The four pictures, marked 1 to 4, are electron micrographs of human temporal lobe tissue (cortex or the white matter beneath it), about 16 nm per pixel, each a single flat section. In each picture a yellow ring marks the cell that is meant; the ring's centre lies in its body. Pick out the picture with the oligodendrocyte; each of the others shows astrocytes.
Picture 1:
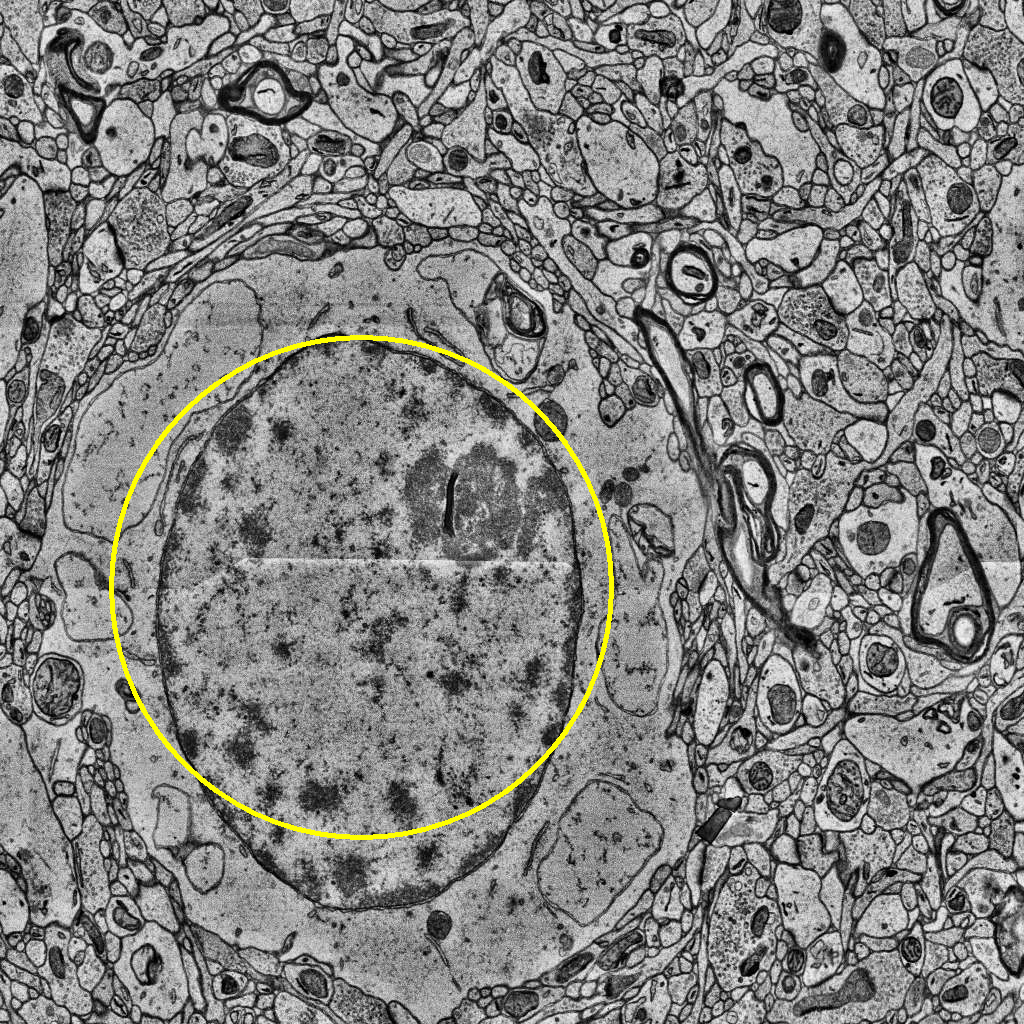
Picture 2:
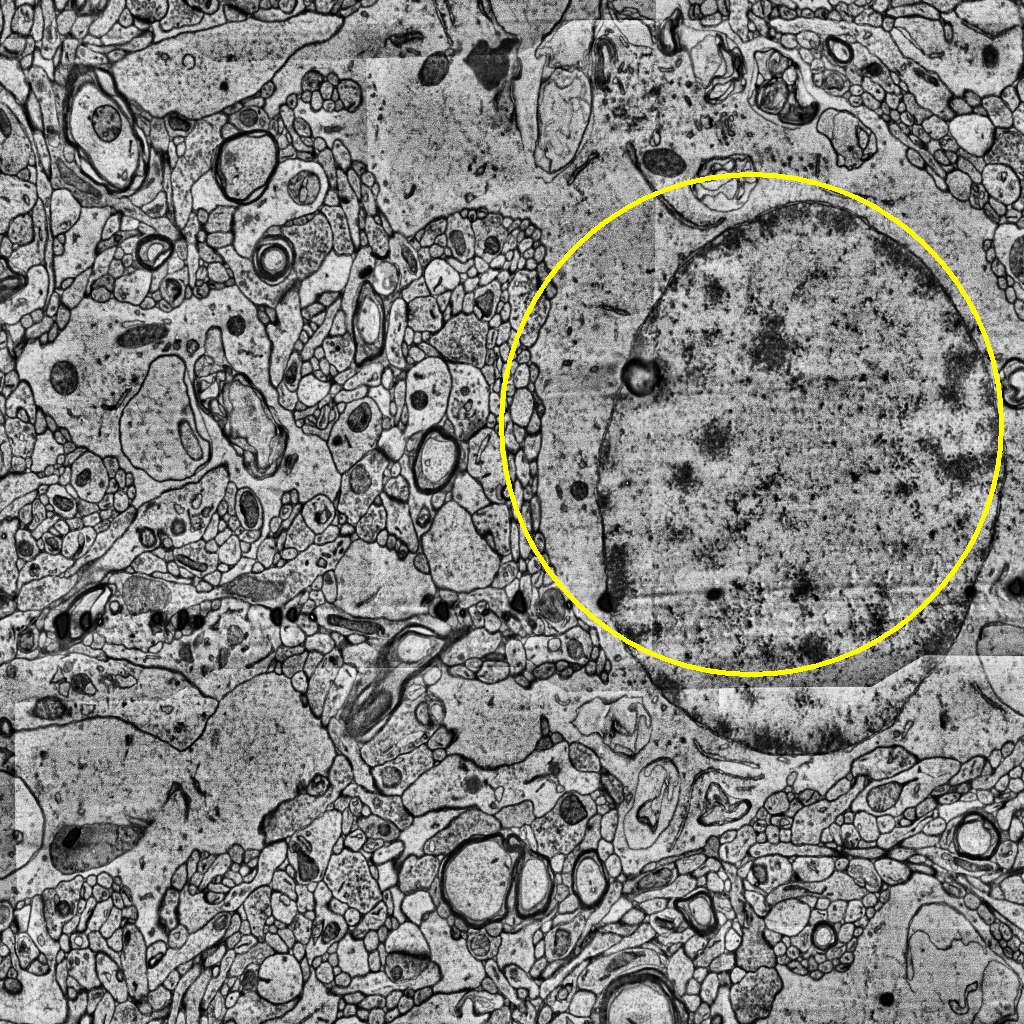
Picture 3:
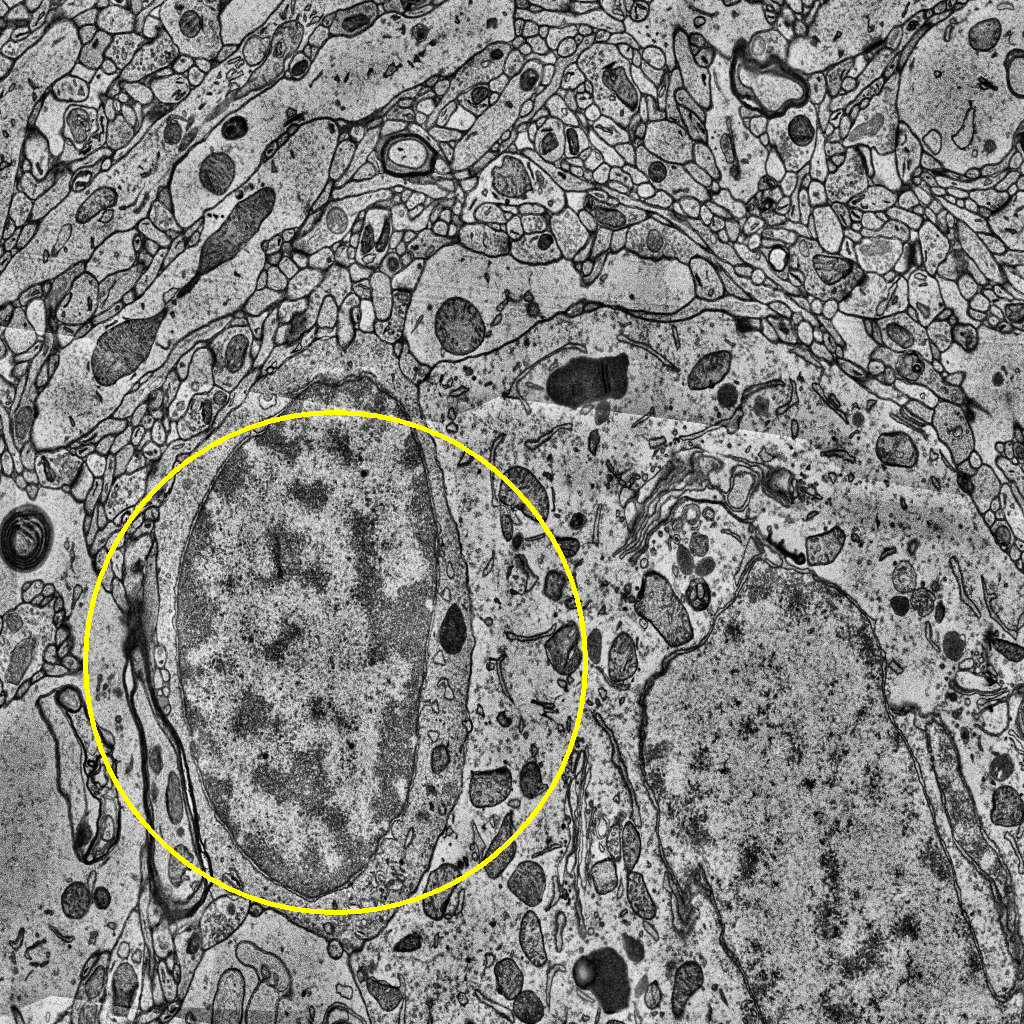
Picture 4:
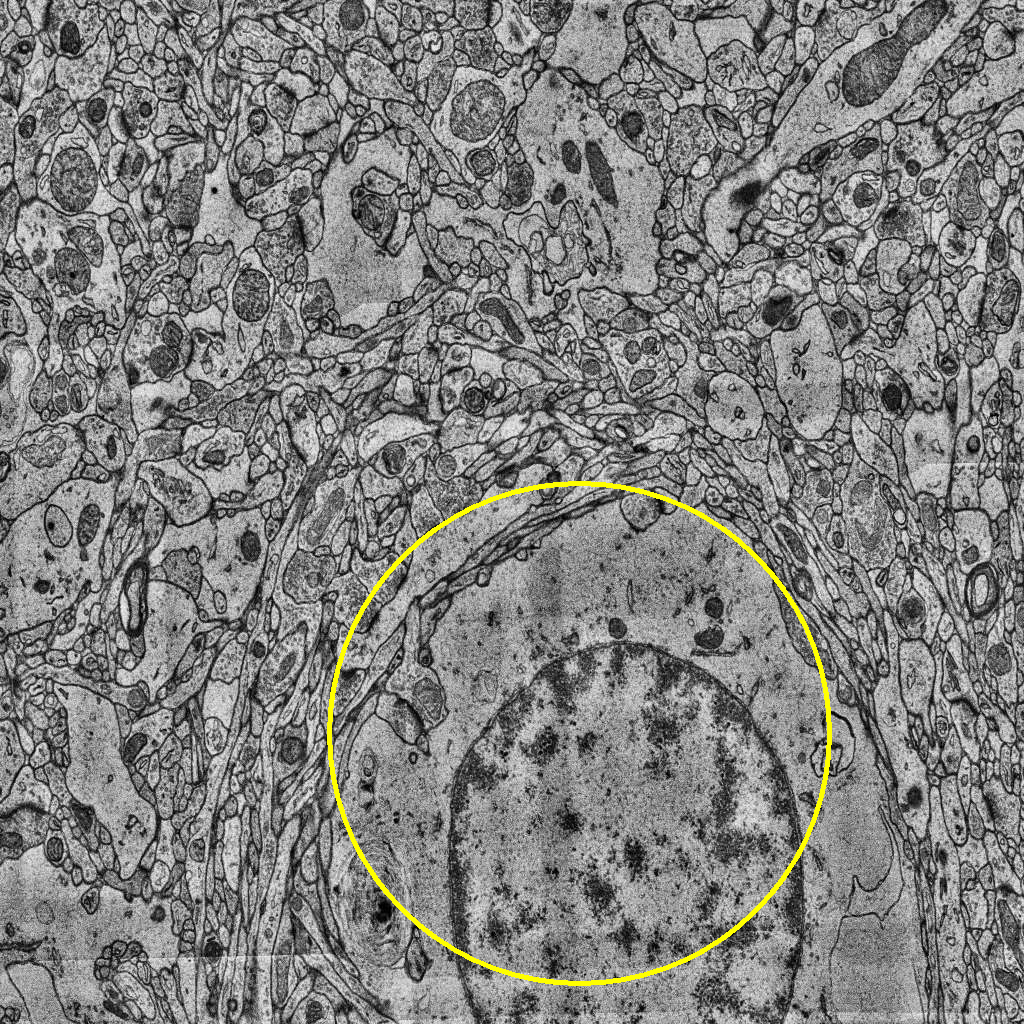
Picture 3 is the one that shows the oligodendrocyte.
